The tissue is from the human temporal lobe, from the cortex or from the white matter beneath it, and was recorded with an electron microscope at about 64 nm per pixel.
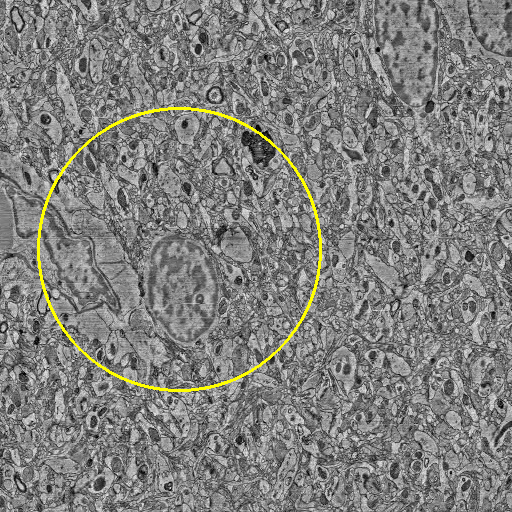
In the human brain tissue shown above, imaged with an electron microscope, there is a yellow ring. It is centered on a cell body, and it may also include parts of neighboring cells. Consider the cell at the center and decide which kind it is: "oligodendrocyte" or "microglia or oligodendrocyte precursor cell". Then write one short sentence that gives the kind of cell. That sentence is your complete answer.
This centered cell body is that of an oligodendrocyte.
